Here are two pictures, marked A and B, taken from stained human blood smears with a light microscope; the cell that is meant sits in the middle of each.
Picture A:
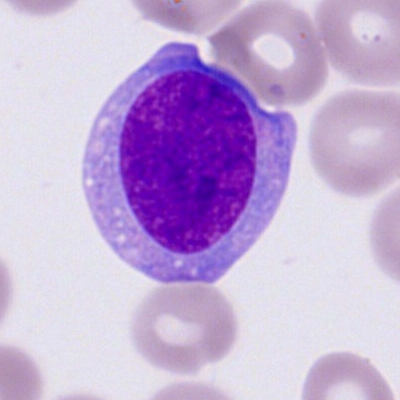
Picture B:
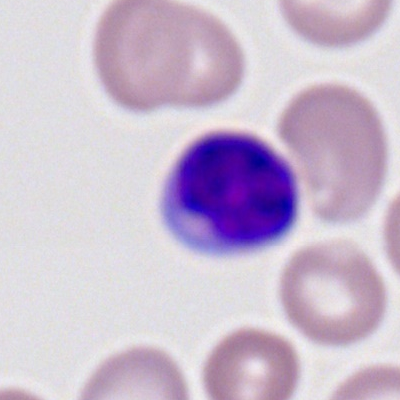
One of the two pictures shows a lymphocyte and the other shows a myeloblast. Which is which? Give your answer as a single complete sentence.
Picture A shows a myeloblast and picture B shows a lymphocyte.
